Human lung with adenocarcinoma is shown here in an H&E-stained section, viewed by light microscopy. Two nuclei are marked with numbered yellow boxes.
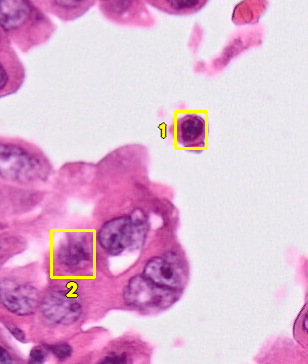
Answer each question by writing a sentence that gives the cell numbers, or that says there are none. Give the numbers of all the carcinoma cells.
In contrast to the remaining marked cells, cell 2 is a carcinoma cell.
